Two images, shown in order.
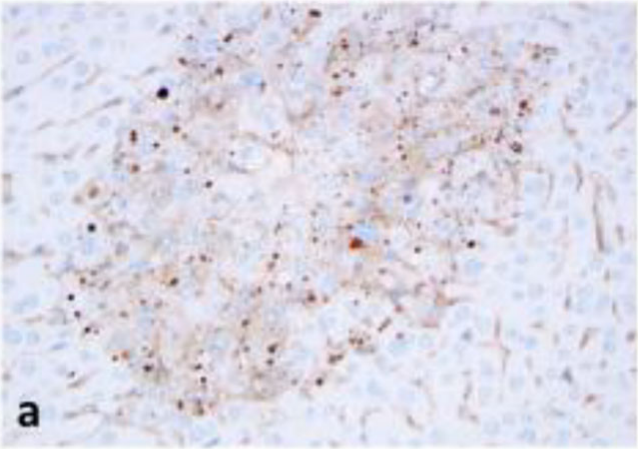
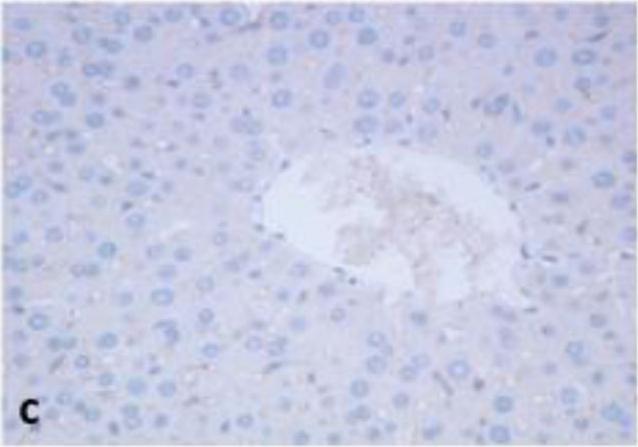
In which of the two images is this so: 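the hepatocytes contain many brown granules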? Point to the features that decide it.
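Second image: hepatocytes around a vessel show only pale blue nuclei and grey-blue cytoplasm without brown granules. First image: a large zone of hepatocytes is filled with dense brown granules and brown streaks. So: the first image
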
